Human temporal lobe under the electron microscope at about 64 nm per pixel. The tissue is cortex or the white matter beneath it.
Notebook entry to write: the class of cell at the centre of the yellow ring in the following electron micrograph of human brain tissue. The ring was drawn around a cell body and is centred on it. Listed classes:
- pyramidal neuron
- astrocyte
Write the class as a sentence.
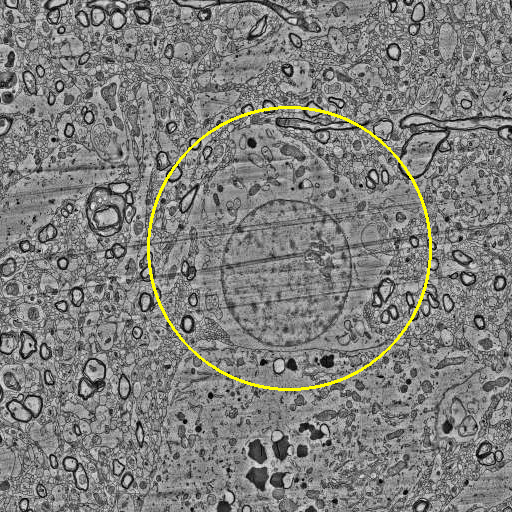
The yellow ring sits on an astrocyte.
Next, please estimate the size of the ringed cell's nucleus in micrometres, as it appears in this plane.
In this plane, the nucleus of the cell at the centre of the ring is about 9 micrometres across.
